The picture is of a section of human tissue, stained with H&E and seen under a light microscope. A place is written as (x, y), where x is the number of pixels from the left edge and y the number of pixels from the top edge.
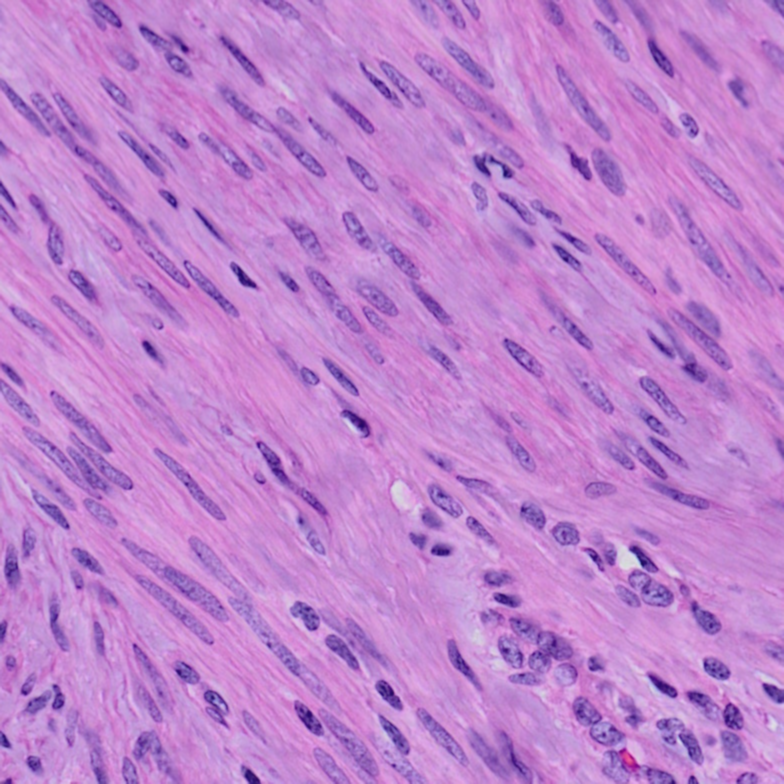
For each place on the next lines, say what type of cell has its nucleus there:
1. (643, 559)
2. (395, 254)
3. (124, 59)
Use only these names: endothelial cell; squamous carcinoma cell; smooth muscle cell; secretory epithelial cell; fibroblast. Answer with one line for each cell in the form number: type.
1: endothelial cell
2: smooth muscle cell
3: smooth muscle cell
